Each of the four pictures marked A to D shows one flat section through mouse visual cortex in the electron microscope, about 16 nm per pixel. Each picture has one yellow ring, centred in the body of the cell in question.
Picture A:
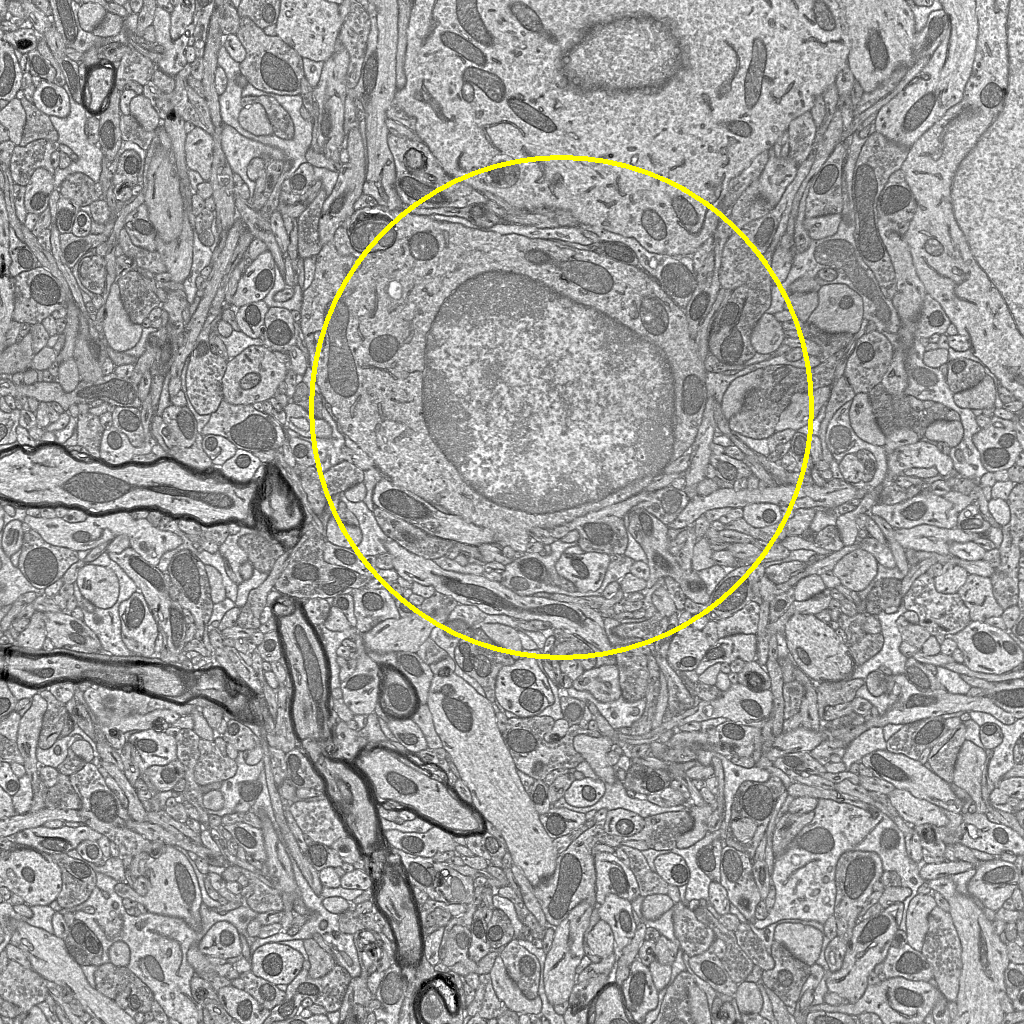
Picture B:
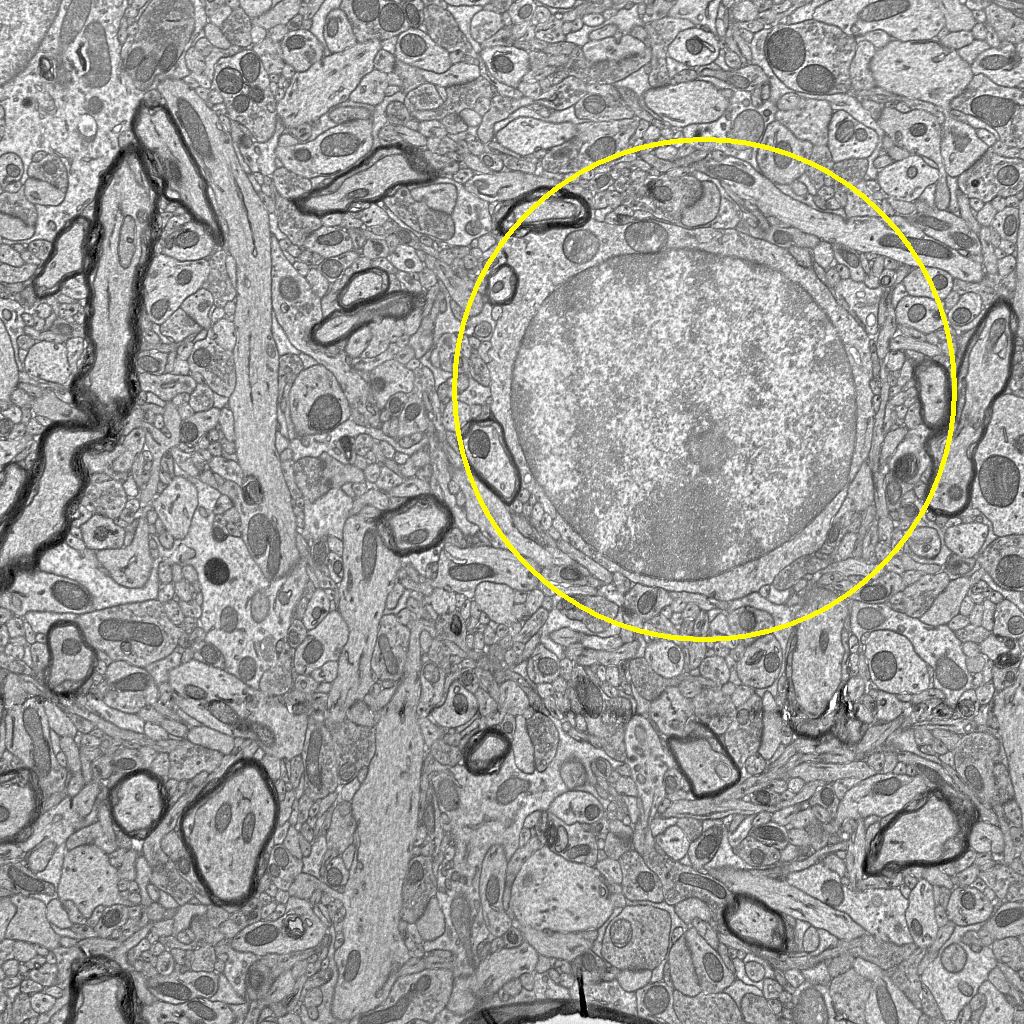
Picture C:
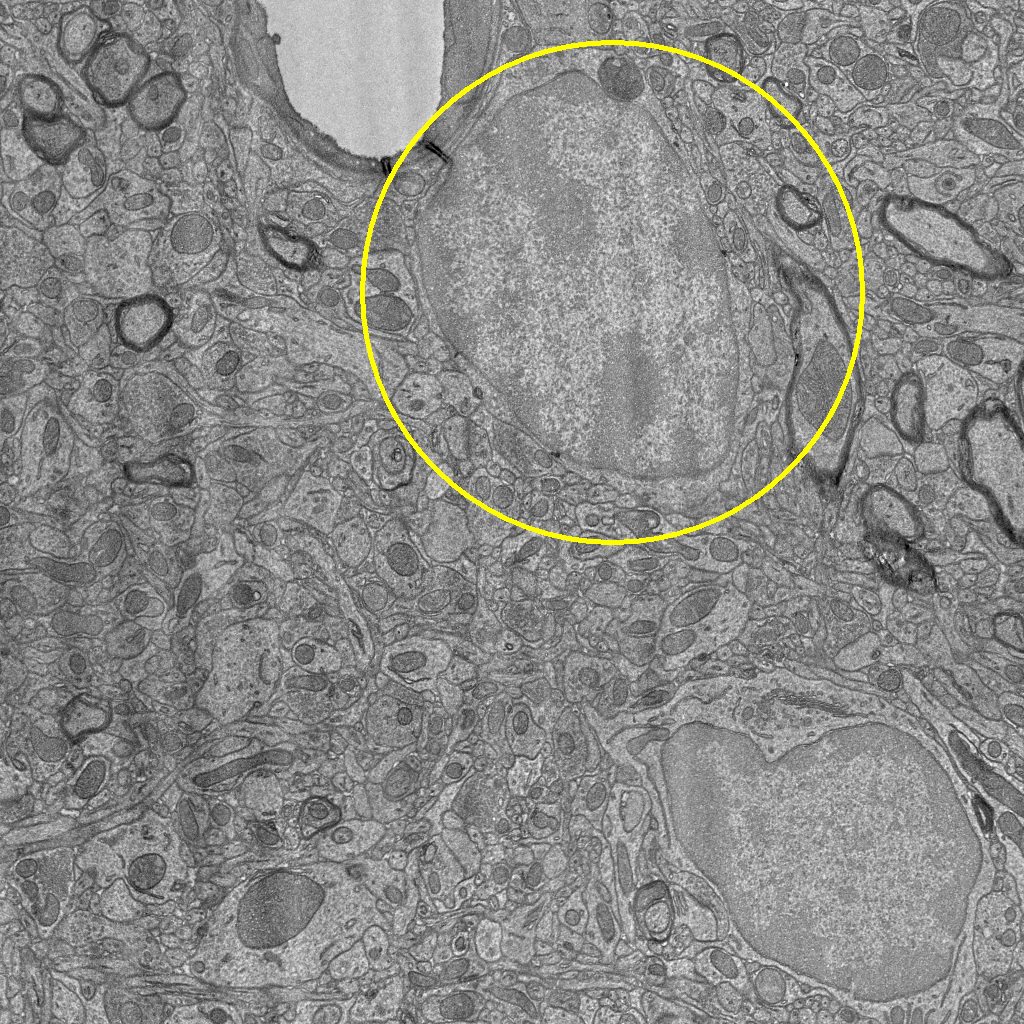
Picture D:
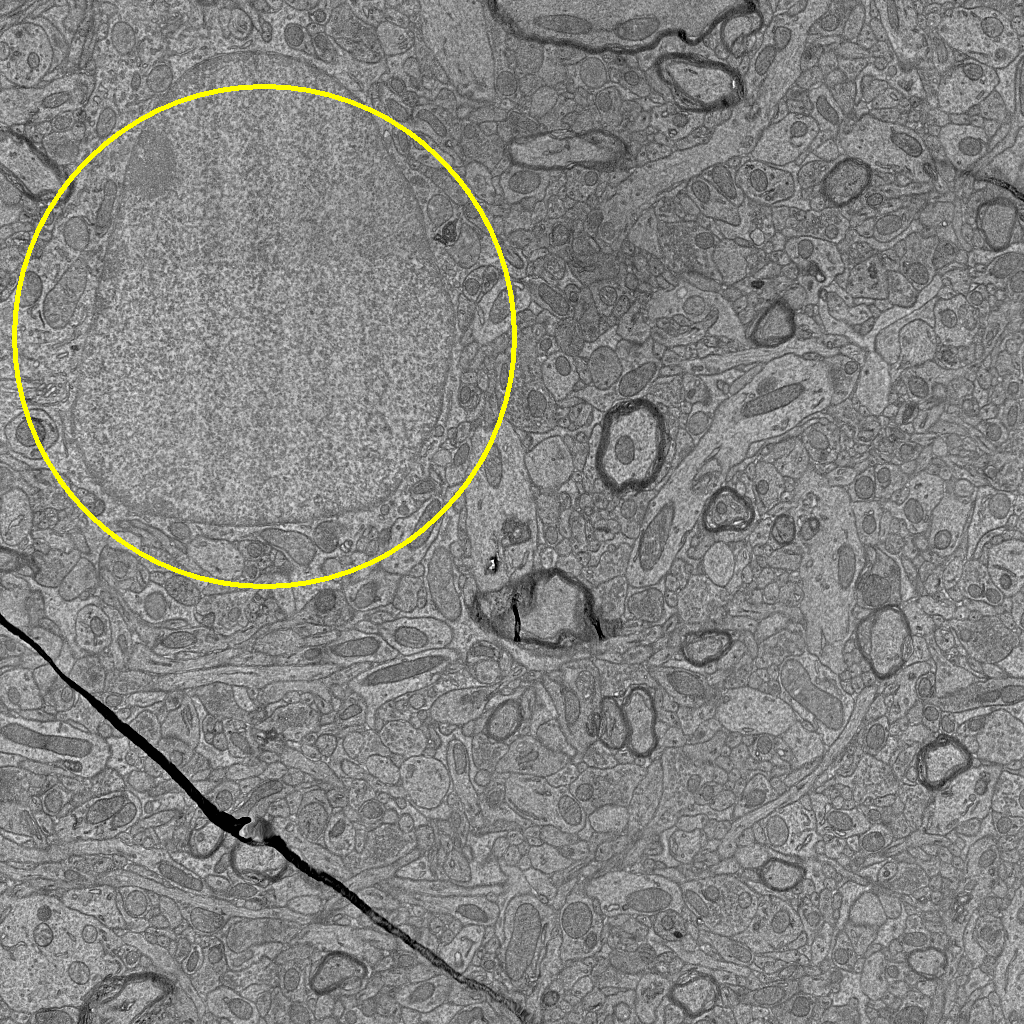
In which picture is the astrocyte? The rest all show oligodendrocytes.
The cell in picture D is the astrocyte.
